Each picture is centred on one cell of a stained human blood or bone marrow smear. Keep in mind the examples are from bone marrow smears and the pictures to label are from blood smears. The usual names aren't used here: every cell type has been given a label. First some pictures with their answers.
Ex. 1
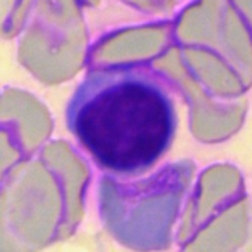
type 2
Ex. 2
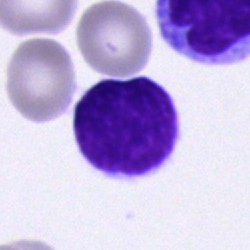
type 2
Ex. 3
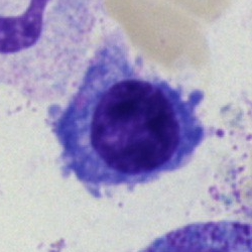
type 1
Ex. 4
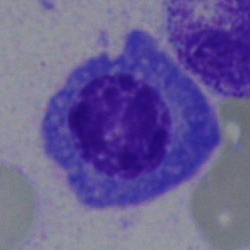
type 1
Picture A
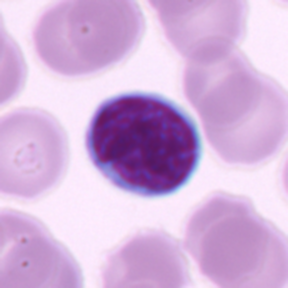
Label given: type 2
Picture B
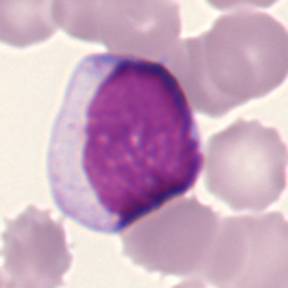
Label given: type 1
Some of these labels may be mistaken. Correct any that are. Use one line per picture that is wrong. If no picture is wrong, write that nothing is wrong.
B: not type 1 but type 2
